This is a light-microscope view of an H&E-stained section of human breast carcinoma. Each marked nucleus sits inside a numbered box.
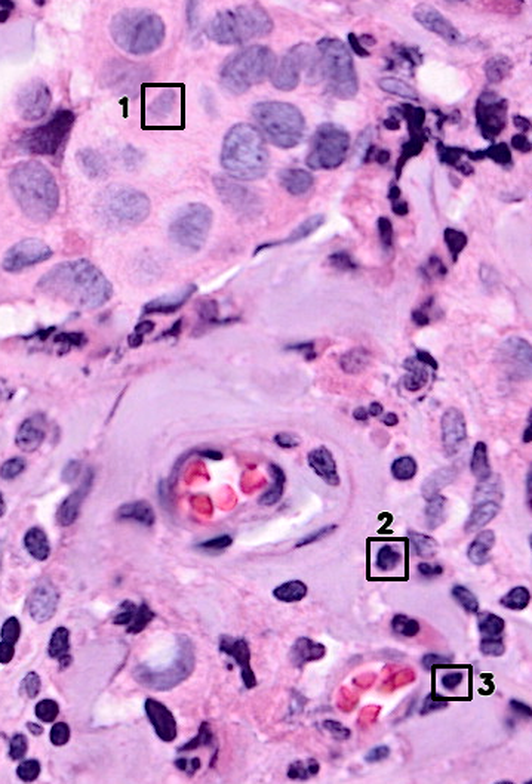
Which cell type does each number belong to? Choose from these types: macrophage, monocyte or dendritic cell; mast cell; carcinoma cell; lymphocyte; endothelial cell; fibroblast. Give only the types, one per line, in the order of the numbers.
carcinoma cell
lymphocyte
lymphocyte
